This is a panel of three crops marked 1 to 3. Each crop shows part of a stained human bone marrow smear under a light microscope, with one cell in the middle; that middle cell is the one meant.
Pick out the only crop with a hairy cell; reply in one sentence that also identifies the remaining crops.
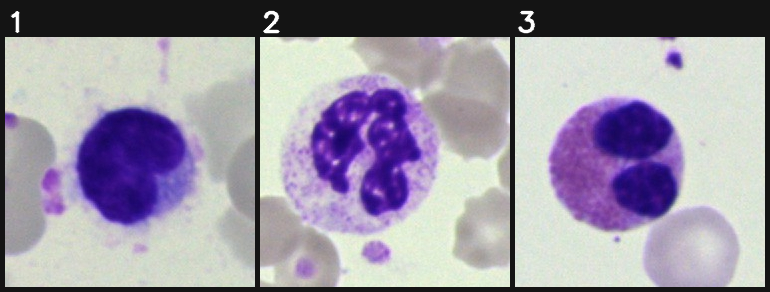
Crop 1 is the one showing a hairy cell, whereas crop 2 is a neutrophil and crop 3 is an eosinophil.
